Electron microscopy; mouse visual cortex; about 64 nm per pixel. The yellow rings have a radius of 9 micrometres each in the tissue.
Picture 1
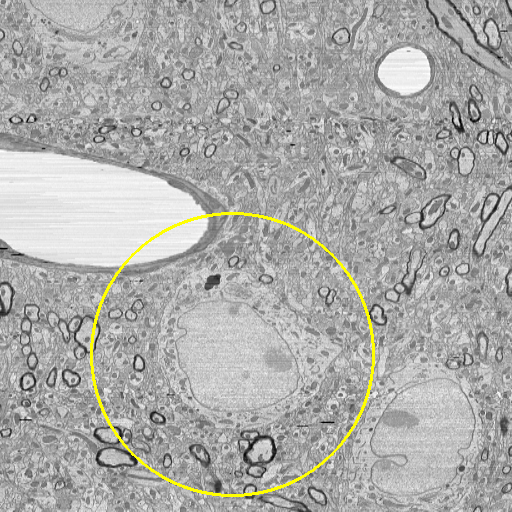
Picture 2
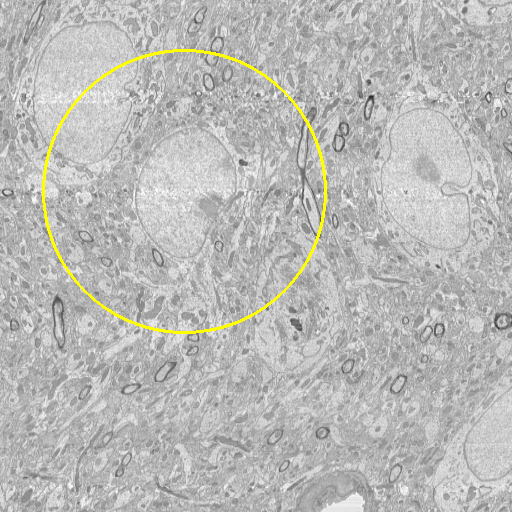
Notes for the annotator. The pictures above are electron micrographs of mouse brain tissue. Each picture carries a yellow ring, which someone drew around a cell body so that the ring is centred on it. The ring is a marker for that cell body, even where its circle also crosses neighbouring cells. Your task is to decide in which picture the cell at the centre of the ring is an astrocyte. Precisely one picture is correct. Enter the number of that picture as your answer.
2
